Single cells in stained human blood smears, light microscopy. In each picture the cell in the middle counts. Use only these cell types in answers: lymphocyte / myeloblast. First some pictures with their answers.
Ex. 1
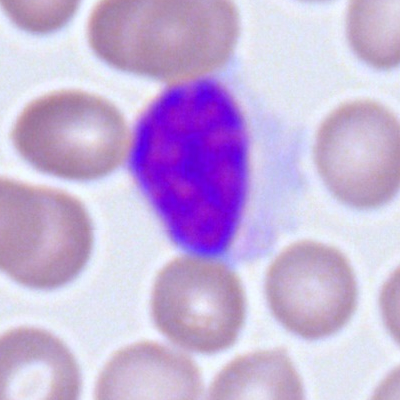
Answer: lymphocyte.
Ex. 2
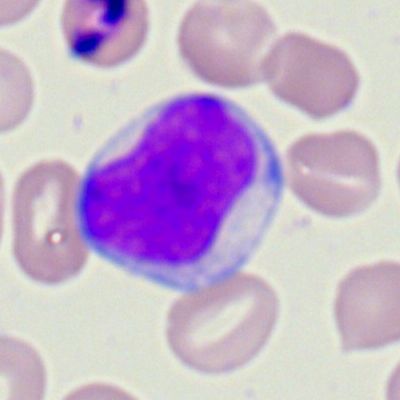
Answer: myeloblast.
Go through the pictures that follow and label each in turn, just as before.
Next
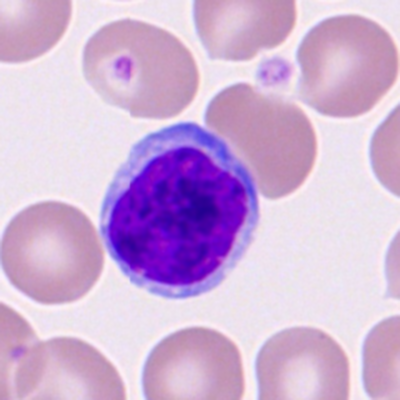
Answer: lymphocyte.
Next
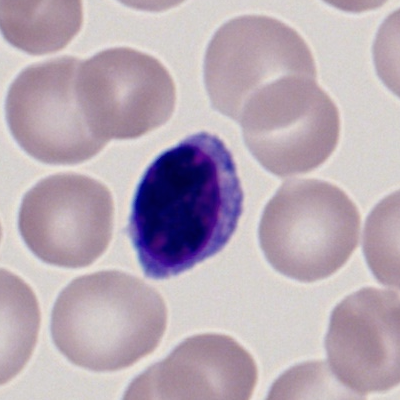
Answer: lymphocyte.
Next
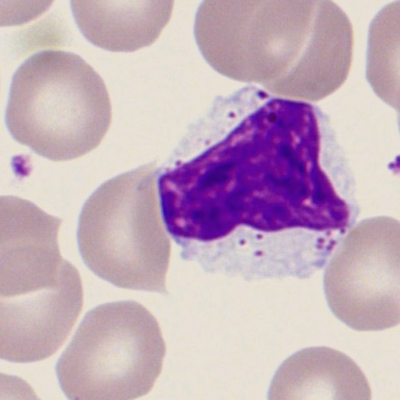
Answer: lymphocyte.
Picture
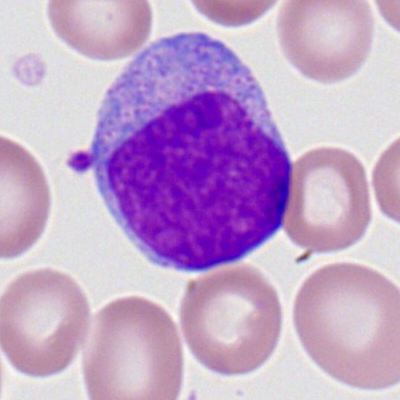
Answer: myeloblast.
